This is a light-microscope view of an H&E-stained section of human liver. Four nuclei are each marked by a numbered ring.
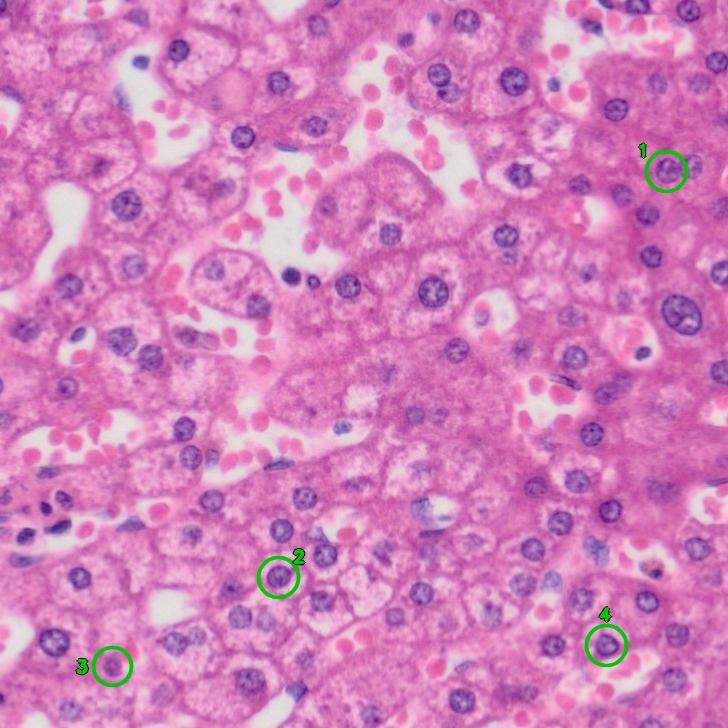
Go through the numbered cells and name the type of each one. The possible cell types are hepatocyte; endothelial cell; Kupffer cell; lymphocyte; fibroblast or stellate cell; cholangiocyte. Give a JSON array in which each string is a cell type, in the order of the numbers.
["hepatocyte", "hepatocyte", "endothelial cell", "hepatocyte"]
